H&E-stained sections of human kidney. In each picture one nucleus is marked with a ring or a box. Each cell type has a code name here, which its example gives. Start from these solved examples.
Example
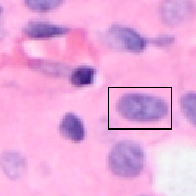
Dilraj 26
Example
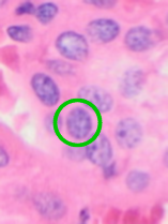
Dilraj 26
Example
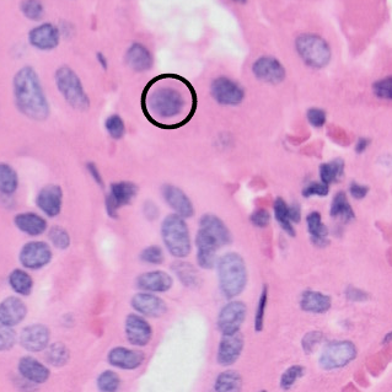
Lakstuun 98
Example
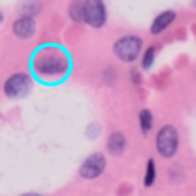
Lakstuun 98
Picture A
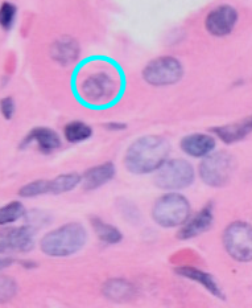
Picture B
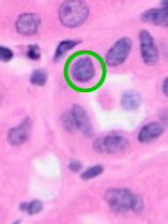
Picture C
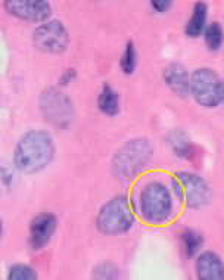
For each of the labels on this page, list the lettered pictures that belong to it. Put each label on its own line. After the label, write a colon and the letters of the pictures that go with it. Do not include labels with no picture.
Dilraj 26: B, C
Lakstuun 98: A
